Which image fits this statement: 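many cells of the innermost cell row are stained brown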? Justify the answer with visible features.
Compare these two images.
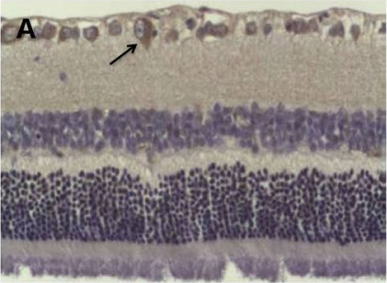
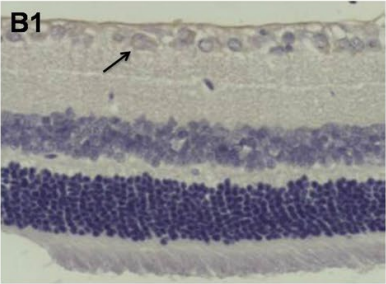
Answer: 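Second image: the cells of the top row are mostly pale blue-grey with little brown. First image: several cells of the top row have distinct brown cytoplasm. So: the first image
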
